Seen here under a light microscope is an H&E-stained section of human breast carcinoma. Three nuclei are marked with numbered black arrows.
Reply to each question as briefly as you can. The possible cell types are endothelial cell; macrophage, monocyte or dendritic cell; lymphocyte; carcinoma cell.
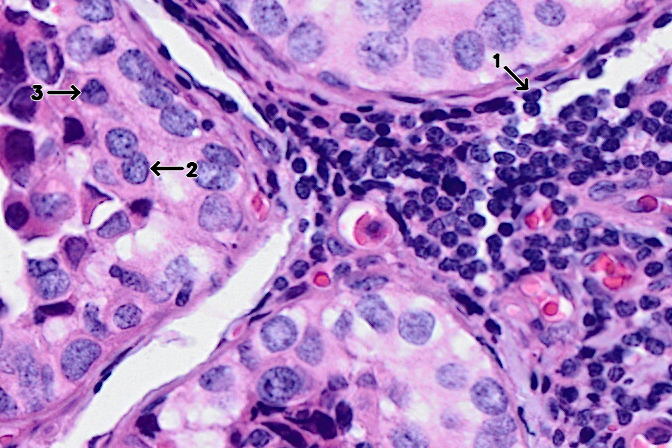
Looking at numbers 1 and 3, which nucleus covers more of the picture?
3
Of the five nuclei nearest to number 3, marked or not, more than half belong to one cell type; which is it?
carcinoma cell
